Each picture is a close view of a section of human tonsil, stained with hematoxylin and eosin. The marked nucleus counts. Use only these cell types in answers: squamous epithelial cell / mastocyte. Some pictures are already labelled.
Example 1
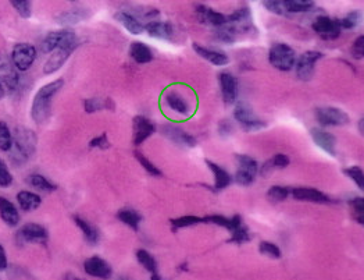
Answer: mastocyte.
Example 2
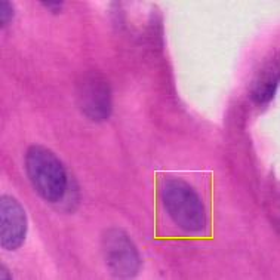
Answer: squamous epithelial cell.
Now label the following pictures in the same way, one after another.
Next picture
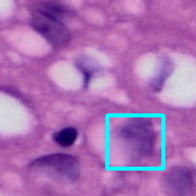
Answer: squamous epithelial cell.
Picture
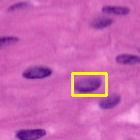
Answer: squamous epithelial cell.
